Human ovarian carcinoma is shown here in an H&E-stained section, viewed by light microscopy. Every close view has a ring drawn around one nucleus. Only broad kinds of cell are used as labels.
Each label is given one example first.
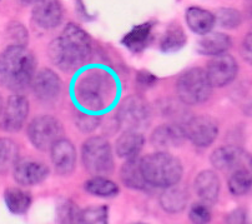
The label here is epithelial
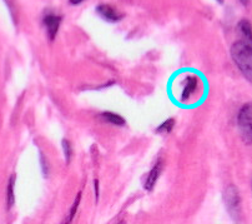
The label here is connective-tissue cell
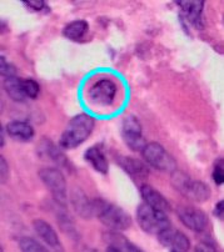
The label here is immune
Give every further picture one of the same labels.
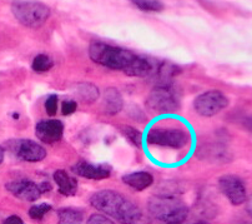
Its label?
epithelial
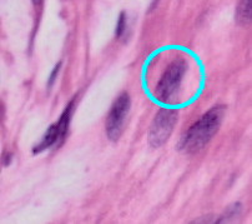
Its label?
connective-tissue cell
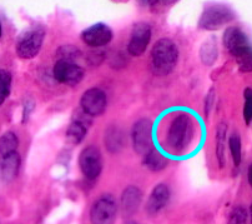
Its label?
epithelial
